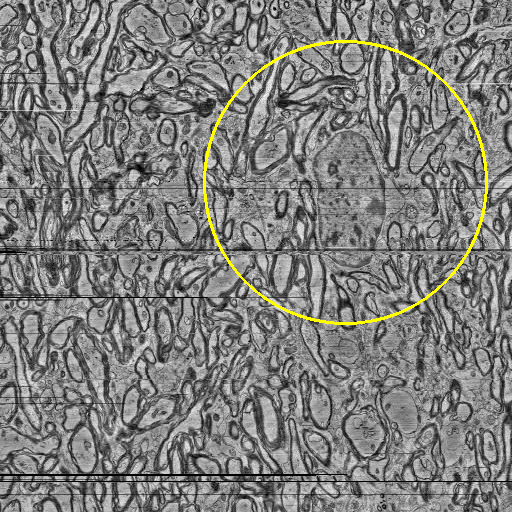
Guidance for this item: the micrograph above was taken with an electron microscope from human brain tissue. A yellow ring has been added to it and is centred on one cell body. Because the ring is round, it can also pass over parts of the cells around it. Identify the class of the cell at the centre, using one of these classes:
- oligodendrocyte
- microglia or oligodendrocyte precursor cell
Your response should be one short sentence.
The ring surrounds the body of a microglial cell or oligodendrocyte precursor cell.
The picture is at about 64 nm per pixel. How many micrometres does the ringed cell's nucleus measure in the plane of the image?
About 9 by 5 micrometers, in this plane.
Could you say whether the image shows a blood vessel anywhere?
No.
